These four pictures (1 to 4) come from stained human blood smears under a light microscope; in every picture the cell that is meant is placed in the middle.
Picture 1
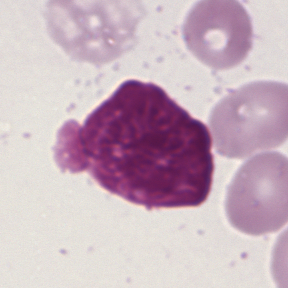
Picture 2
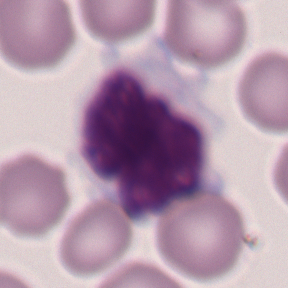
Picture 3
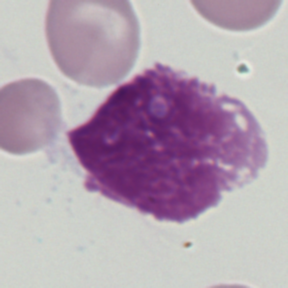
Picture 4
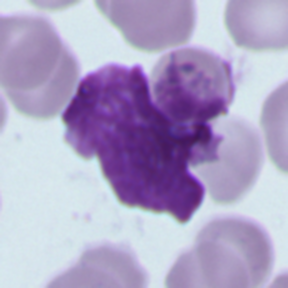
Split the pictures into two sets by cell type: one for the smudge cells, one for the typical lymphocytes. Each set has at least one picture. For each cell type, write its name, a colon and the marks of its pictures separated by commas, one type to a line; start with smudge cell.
smudge cell: 1, 3, 4
typical lymphocyte: 2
